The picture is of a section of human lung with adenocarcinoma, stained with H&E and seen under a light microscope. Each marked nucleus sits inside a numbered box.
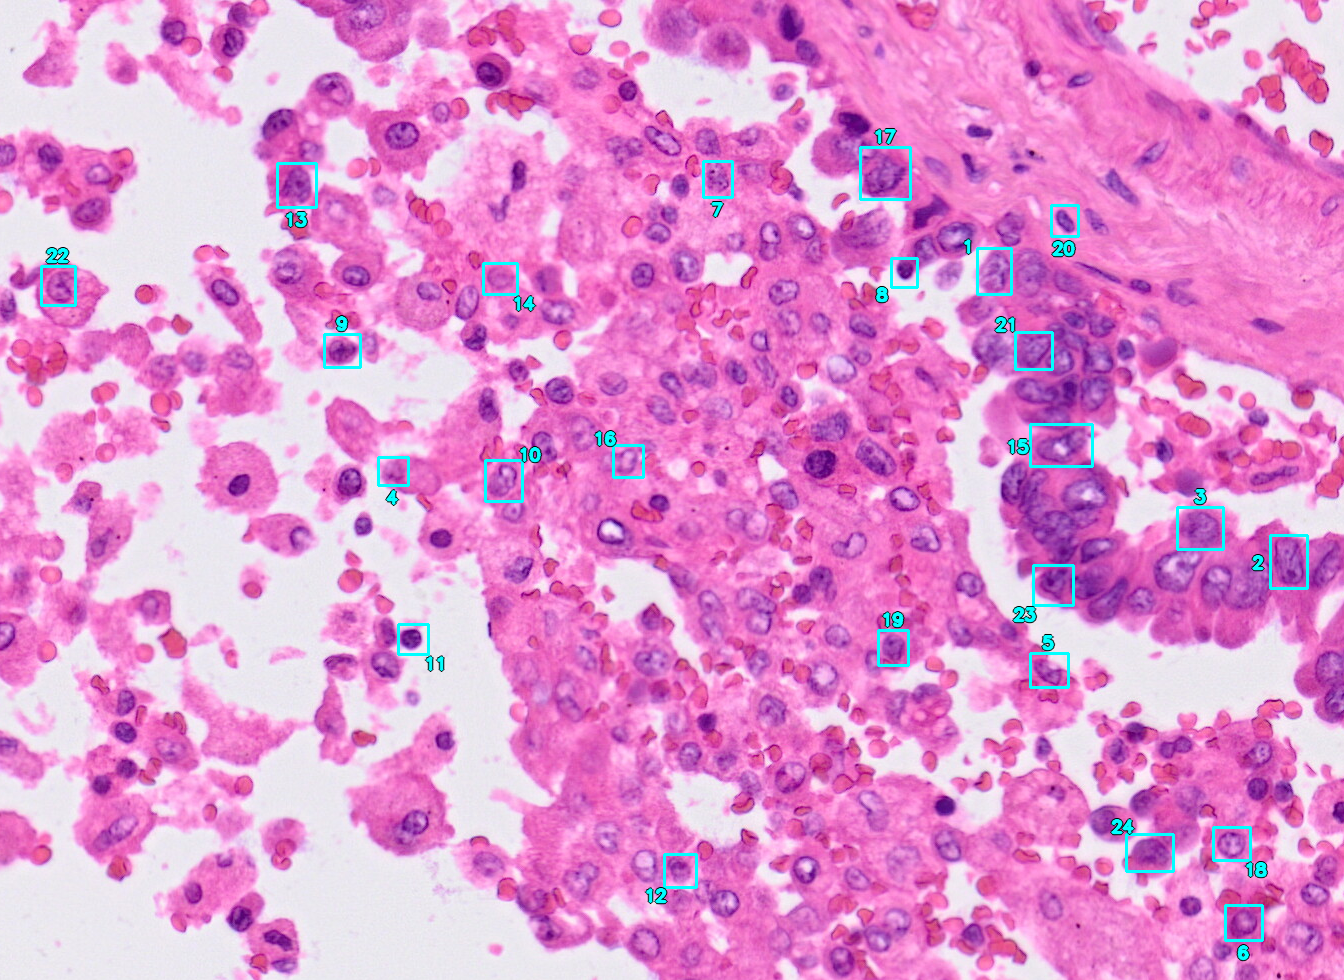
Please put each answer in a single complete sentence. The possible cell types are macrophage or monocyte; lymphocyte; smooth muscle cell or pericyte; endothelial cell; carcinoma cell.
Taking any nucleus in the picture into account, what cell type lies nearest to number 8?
The cell nearest to number 8 is a carcinoma cell.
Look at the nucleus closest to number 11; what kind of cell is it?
The nucleus nearest to number 11 is that of a macrophage or monocyte.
